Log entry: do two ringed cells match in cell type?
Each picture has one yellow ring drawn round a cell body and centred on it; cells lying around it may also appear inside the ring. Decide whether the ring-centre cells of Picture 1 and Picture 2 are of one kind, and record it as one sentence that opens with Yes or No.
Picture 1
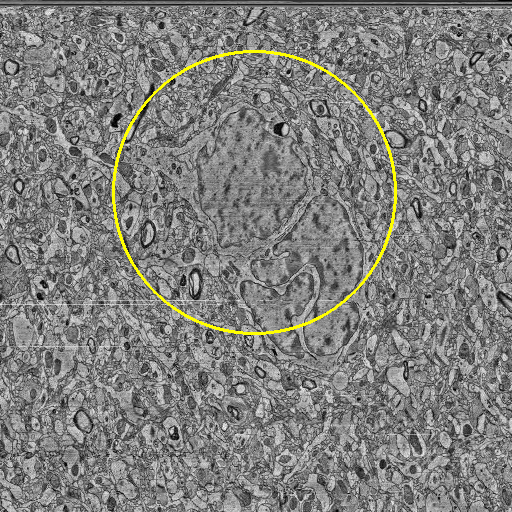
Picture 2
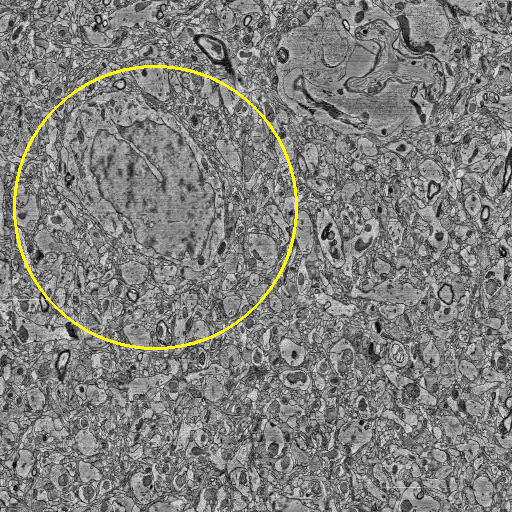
Yes, the cells at the ring centres of the two pictures belong to one kind.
